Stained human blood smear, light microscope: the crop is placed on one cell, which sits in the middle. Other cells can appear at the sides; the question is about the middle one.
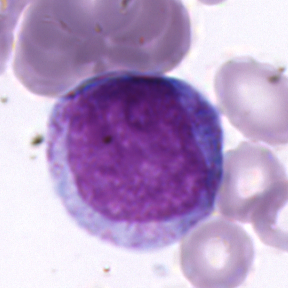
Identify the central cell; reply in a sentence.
The cell nearest the centre of this crop is a promyelocyte.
